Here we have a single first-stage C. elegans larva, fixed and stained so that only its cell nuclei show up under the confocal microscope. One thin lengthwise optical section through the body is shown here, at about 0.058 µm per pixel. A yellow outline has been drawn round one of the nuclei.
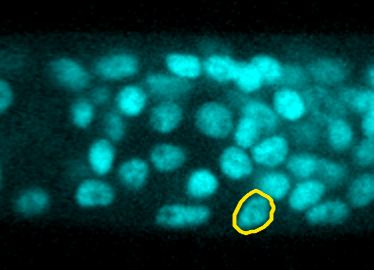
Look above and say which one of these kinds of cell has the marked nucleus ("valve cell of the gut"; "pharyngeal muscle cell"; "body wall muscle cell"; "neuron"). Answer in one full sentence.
It is the nucleus of a body wall muscle cell.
